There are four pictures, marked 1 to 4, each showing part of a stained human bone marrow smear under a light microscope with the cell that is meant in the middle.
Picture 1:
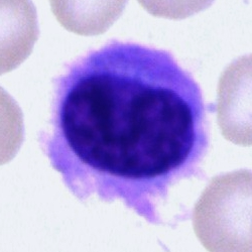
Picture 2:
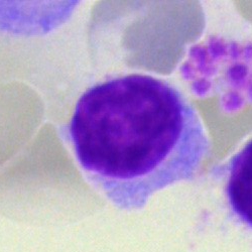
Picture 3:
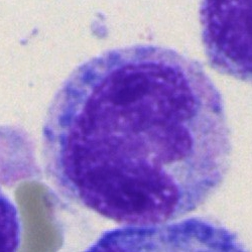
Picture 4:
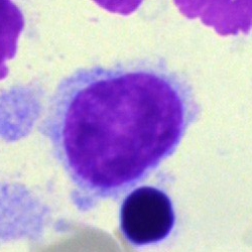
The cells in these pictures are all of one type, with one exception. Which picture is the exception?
3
